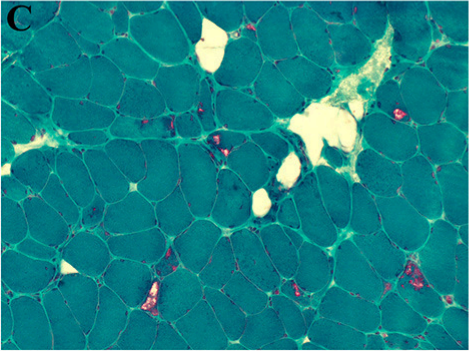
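Small bright red granular deposits lie at the edges of several fibers and in the spaces between them, standing out against the blue-green cytoplasm. A few clear white empty spaces interrupt the tissue. Fiber sizes vary, with some small rounded fibers scattered among larger ones.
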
